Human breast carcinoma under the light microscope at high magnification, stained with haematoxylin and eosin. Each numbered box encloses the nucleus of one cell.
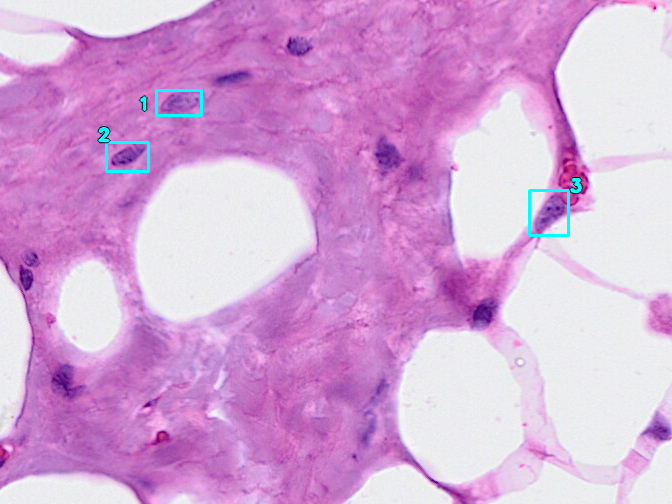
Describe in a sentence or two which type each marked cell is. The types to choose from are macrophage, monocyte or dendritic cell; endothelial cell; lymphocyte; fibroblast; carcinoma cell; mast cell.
Cells 1 and 2 are fibroblasts. Cell 3 is an endothelial cell.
